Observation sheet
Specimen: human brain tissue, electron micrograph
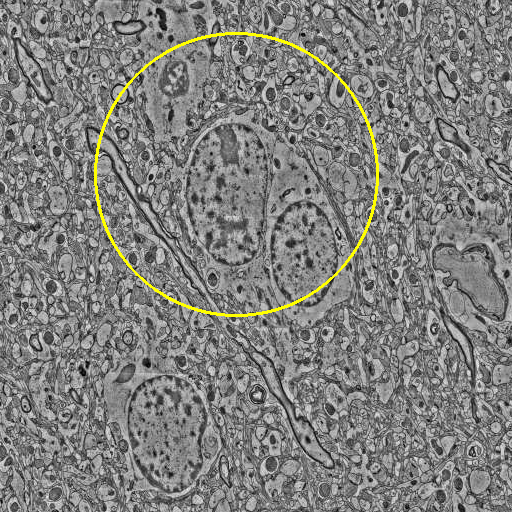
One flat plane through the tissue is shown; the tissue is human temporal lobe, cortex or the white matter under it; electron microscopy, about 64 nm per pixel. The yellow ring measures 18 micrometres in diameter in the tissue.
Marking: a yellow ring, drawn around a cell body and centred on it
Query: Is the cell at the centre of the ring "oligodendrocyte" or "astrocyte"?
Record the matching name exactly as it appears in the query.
astrocyte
